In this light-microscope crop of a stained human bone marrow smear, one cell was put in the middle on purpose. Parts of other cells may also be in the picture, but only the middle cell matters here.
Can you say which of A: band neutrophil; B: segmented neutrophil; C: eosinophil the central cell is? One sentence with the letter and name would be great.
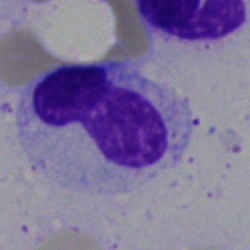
The expected answer is option A, the central cell being a band neutrophil.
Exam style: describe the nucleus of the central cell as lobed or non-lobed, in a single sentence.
Worth pointing out that its nucleus is one compact mass, round, oval or reniform.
